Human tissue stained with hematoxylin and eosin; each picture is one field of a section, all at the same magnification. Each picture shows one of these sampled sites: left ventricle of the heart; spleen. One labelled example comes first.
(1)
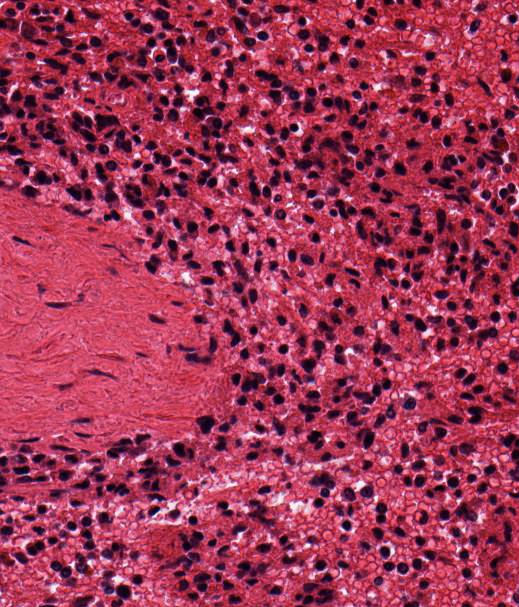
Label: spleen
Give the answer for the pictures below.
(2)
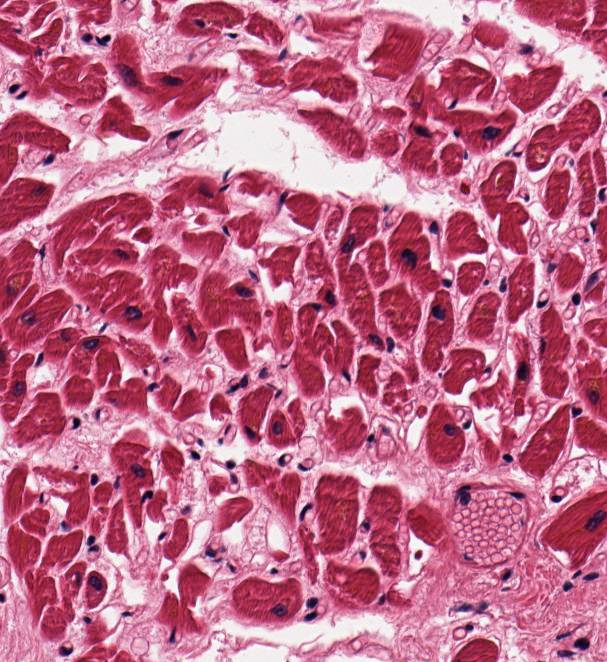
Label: left ventricle of the heart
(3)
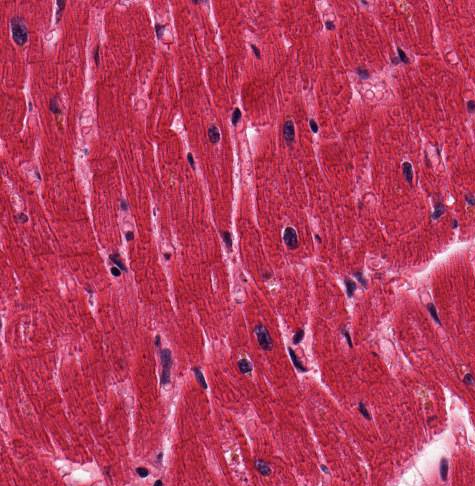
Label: left ventricle of the heart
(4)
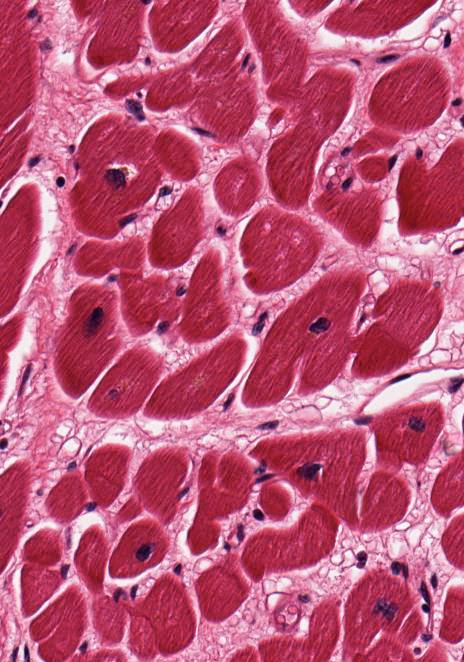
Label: left ventricle of the heart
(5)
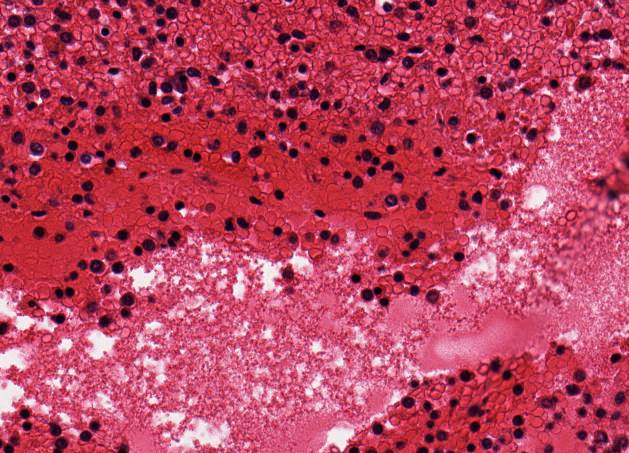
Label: spleen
